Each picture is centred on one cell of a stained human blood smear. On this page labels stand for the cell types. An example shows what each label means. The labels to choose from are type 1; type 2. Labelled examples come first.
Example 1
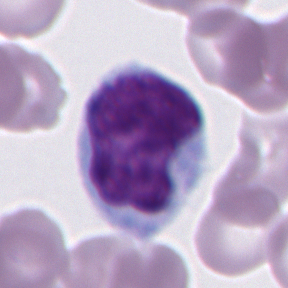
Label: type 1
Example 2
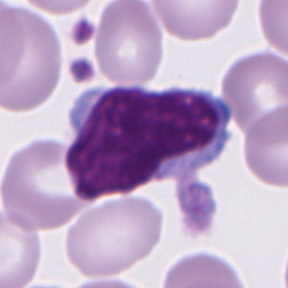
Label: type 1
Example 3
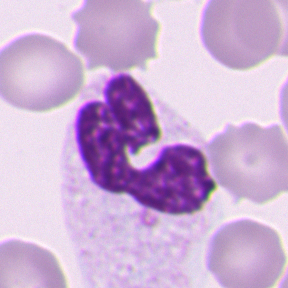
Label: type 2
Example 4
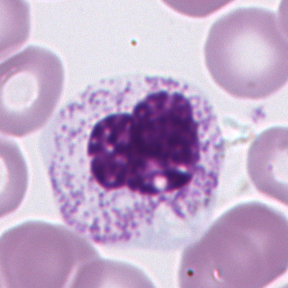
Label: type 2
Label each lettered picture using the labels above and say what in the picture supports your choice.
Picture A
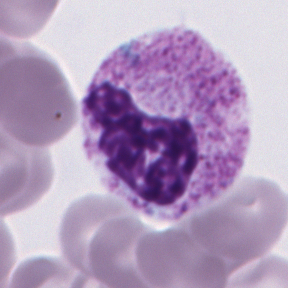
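type 2. Reason: The cytoplasm is abundant with a pale pink background.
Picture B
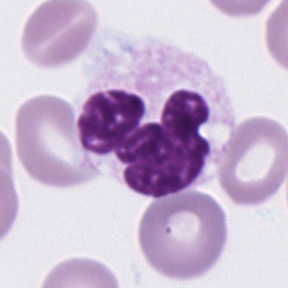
type 2. Reason: The cytoplasm is abundant and pale pinkish-lilac.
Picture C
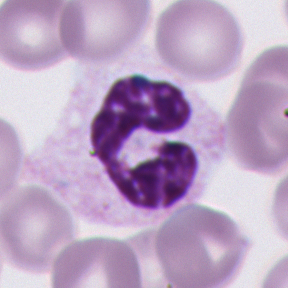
type 2. Reason: The nucleus is curved into a C shape that opens toward the right.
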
